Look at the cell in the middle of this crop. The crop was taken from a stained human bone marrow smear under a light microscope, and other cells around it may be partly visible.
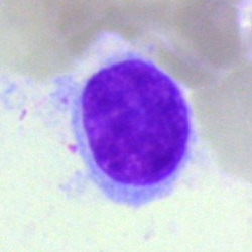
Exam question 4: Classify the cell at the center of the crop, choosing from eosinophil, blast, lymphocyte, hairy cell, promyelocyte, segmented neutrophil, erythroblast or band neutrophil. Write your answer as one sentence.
The cell that lies at the centre of the crop is a hairy cell.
